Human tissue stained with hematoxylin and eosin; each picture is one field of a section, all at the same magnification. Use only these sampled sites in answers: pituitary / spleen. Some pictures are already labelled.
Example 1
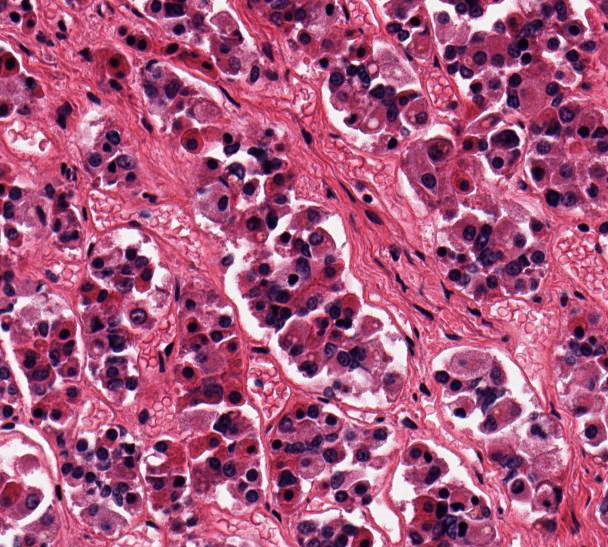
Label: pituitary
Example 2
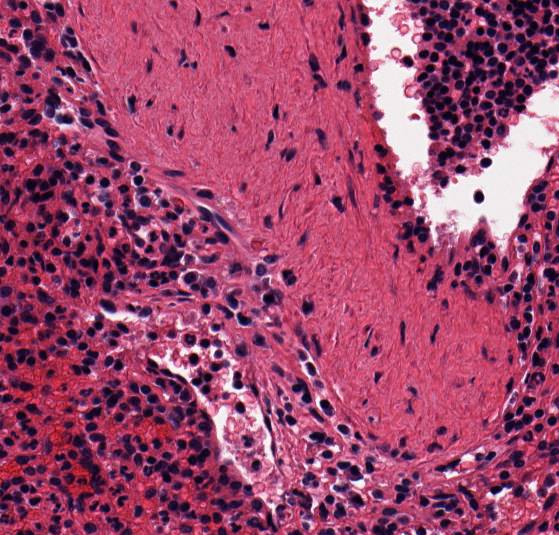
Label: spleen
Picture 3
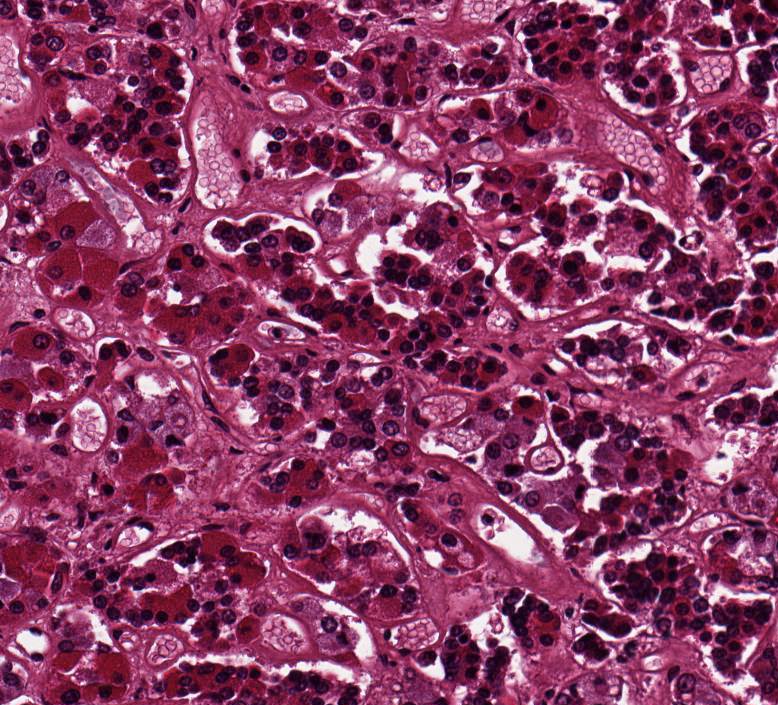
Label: pituitary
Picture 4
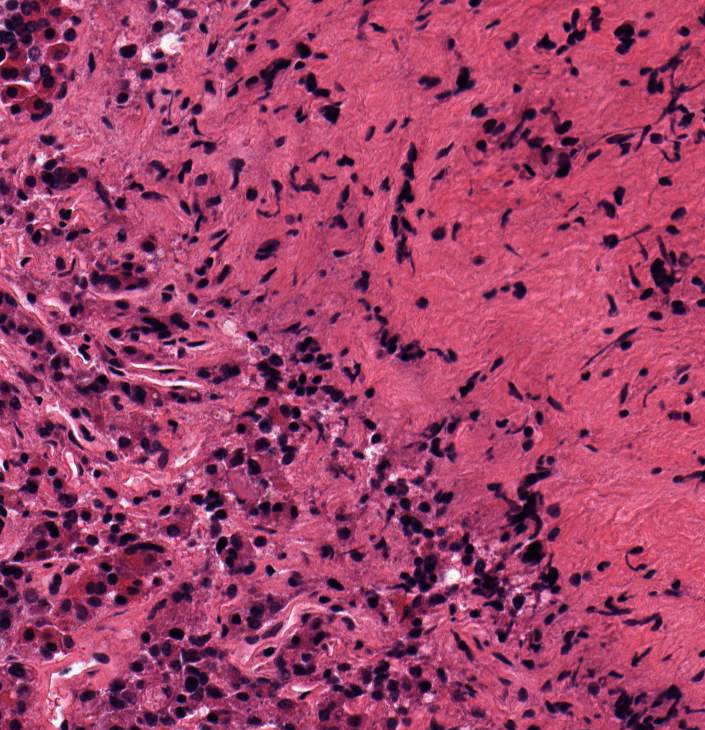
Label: pituitary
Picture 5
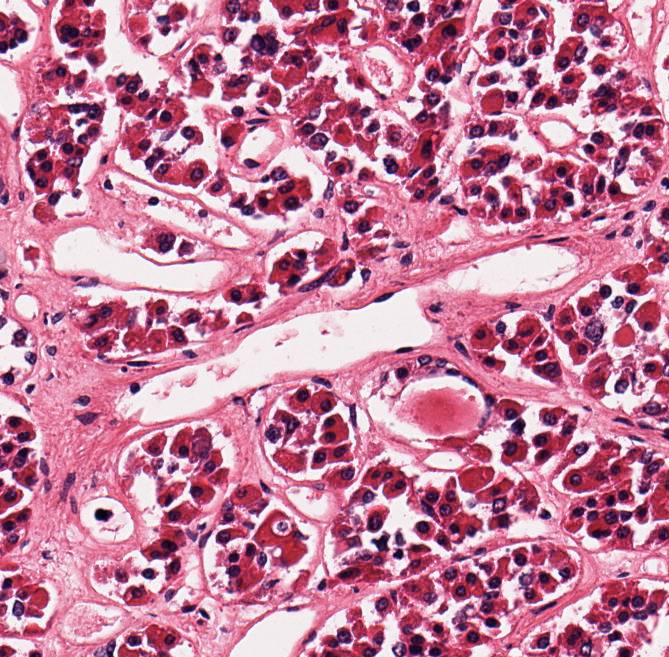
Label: pituitary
